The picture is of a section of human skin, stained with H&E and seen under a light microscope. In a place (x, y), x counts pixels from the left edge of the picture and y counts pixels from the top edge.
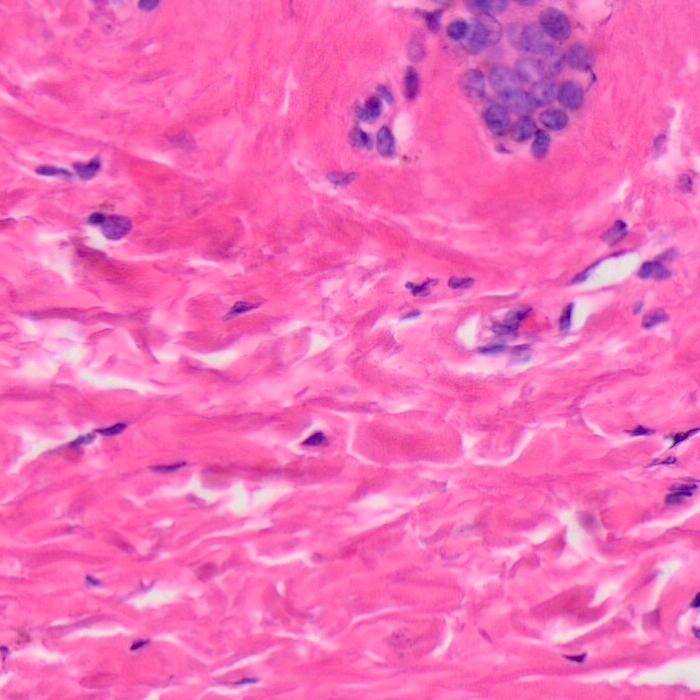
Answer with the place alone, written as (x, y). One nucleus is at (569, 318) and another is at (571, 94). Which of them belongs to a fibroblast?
(569, 318)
